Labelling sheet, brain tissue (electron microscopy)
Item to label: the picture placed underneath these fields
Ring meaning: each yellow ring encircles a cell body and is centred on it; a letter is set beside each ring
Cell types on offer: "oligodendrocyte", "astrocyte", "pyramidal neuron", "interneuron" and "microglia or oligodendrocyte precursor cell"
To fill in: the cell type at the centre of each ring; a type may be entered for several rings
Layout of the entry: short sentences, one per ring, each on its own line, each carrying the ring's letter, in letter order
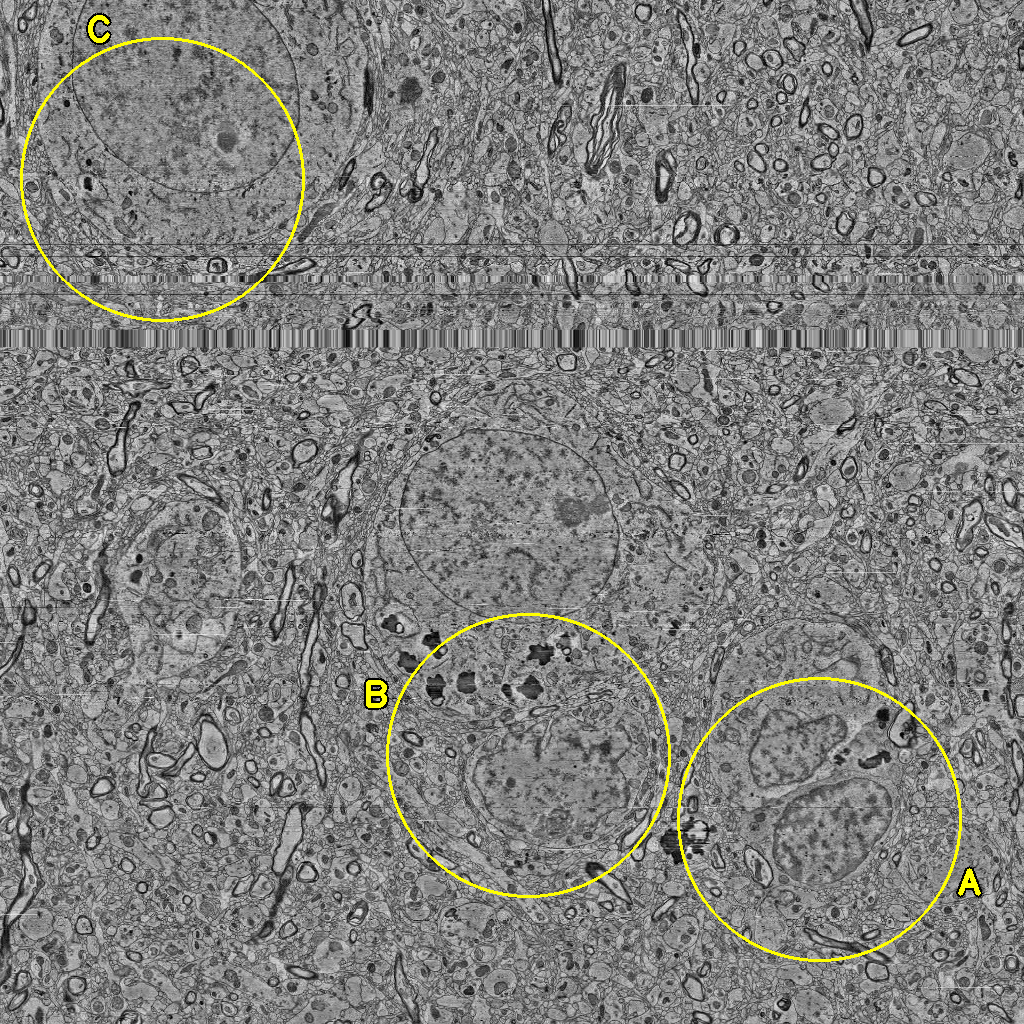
Ring A encircles the body of an oligodendrocyte.
Ring B encircles the body of an interneuron.
Ring C encircles the body of a pyramidal neuron.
